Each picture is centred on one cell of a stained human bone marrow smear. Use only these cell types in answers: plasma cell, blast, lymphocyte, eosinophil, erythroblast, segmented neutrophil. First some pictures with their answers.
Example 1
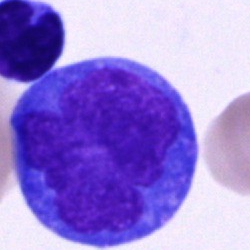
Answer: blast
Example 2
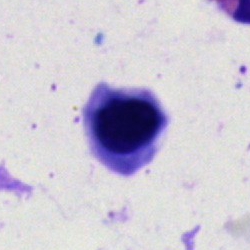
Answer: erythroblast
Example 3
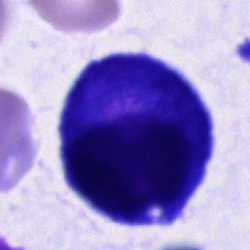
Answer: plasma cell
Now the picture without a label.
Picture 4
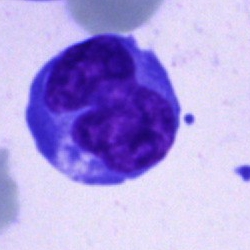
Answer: blast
